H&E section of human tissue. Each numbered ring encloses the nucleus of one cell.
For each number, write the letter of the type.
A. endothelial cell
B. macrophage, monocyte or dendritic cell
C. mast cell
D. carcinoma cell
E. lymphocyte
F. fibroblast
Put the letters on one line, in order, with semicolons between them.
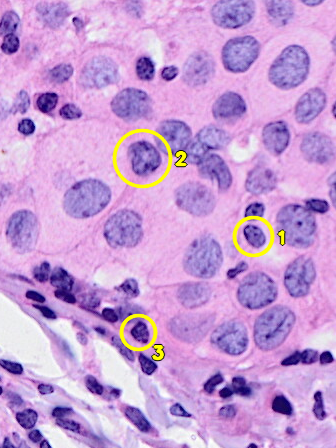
E; D; E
